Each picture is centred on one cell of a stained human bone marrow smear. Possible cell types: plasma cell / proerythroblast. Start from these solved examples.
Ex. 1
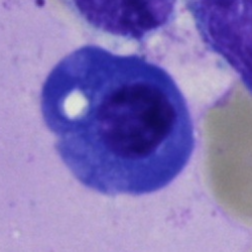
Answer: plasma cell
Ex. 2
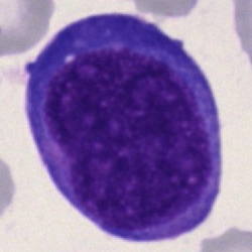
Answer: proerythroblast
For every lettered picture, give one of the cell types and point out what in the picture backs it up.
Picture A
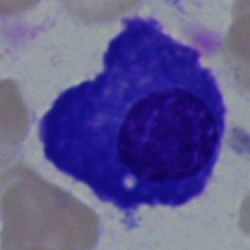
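plasma cell. The cytoplasm is abundant and covers more of the cell than the nucleus does.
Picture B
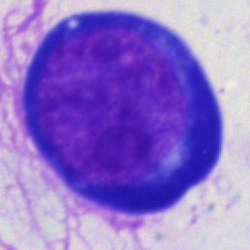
proerythroblast. The nucleus fills most of the cell, leaving a narrow rim of cytoplasm.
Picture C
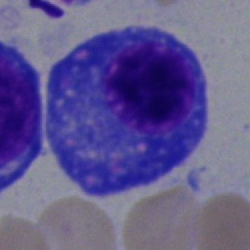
plasma cell. The cytoplasm is abundant and stains a deep blue.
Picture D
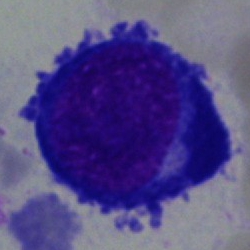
proerythroblast. The chromatin appears finely stippled rather than gathered into coarse dark clumps.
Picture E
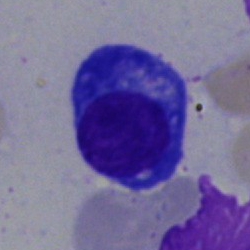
plasma cell. The cytoplasm is abundant and deep blue.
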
